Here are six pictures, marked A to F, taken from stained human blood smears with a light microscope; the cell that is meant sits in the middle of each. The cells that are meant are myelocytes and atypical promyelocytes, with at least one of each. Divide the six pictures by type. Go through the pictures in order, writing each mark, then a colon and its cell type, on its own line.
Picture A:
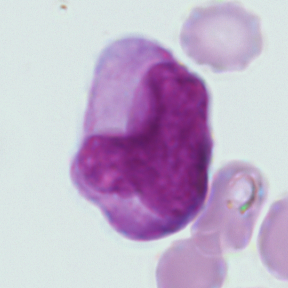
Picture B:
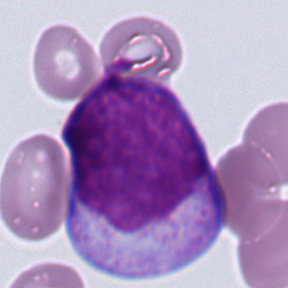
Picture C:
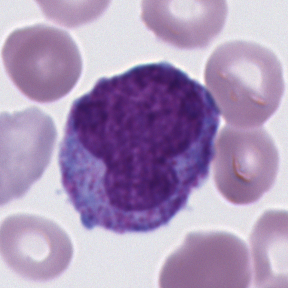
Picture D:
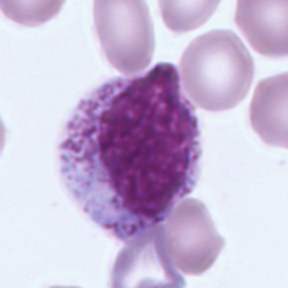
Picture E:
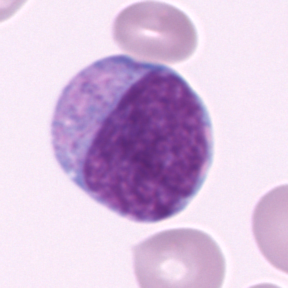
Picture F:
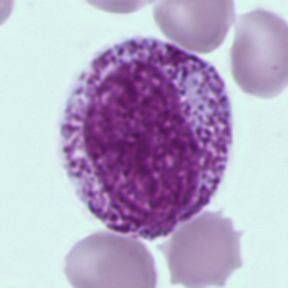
A: atypical promyelocyte
B: atypical promyelocyte
C: atypical promyelocyte
D: myelocyte
E: atypical promyelocyte
F: myelocyte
